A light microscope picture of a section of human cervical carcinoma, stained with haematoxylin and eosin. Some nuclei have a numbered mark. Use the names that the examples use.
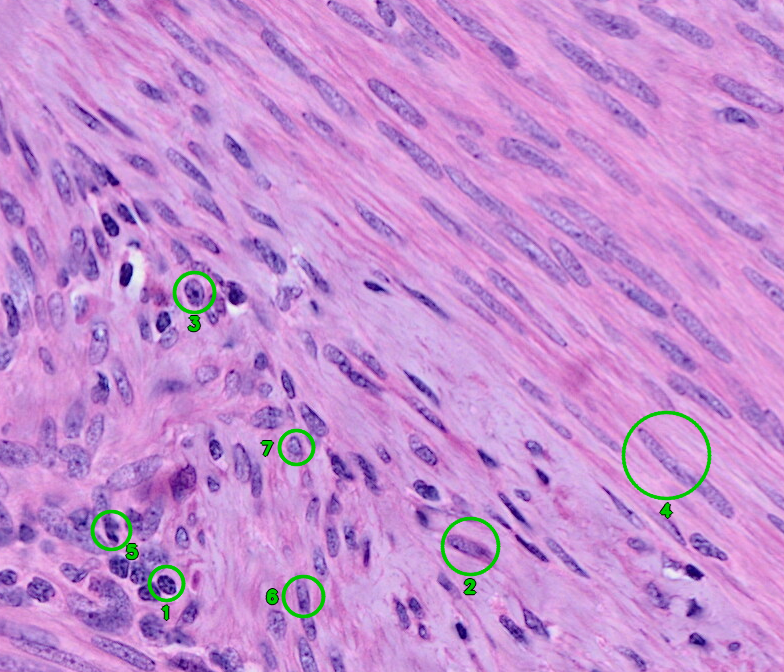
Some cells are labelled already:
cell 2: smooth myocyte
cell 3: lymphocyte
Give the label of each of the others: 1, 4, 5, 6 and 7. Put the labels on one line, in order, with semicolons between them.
lymphocyte; smooth myocyte; lymphocyte; smooth myocyte; smooth myocyte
